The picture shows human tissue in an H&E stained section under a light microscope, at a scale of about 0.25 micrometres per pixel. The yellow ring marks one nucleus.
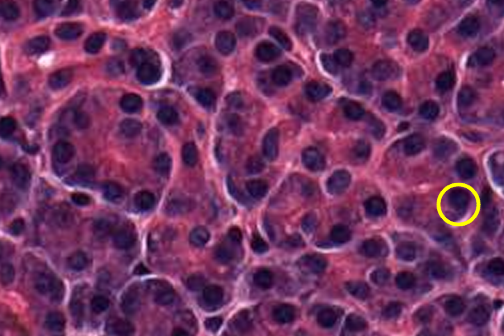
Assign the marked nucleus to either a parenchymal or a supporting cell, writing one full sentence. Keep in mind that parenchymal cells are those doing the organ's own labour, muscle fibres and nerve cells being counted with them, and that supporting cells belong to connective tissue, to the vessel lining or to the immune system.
The marked nucleus is held by a parenchymal cell, namely a pancreatic acinar cell.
